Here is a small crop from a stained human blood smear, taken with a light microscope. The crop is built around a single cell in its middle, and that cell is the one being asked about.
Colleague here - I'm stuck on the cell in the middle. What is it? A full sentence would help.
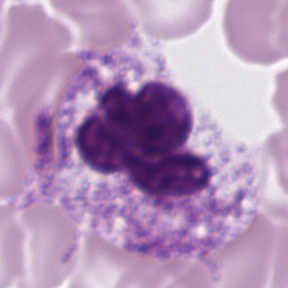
The central element of this crop is a cell, namely a segmented neutrophil.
